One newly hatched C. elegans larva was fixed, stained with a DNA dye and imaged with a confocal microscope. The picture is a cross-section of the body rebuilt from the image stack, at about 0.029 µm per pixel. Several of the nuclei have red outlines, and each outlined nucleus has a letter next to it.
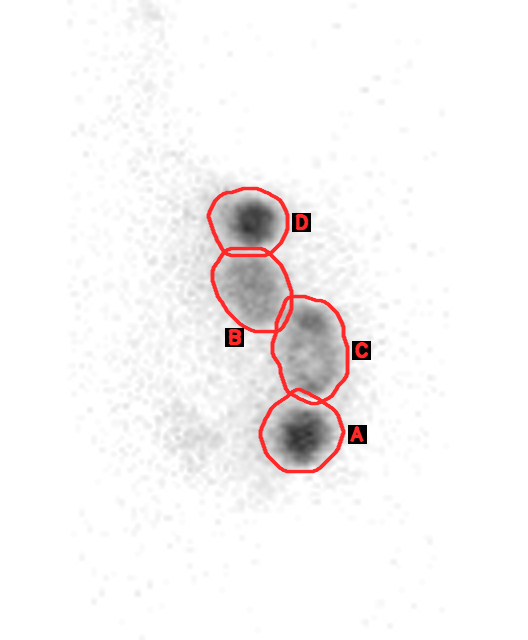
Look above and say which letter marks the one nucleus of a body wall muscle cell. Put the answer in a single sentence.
A is from a body wall muscle cell.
